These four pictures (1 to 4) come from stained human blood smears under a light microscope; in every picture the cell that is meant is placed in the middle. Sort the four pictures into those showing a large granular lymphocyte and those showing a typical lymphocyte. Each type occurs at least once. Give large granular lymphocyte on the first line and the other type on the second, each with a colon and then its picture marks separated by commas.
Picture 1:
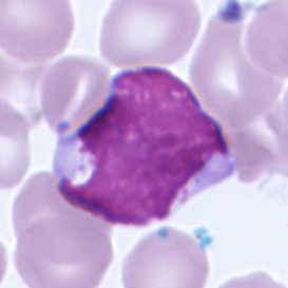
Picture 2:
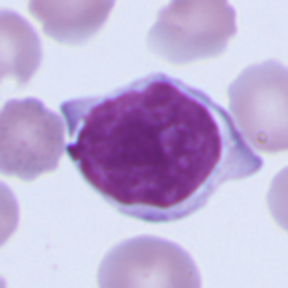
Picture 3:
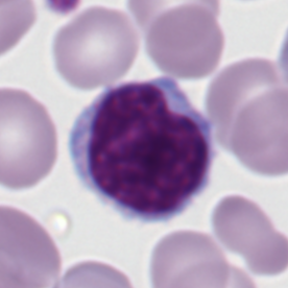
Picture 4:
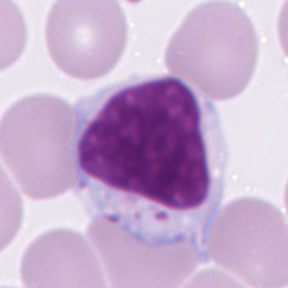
large granular lymphocyte: 1, 4
typical lymphocyte: 2, 3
